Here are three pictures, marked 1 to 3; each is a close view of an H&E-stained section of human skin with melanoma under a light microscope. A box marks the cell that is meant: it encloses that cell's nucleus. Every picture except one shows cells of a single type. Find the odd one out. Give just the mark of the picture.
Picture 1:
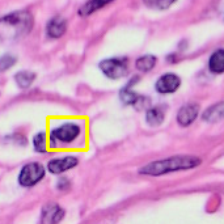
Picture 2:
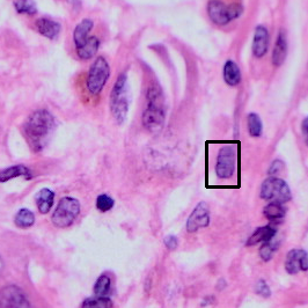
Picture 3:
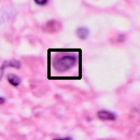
1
